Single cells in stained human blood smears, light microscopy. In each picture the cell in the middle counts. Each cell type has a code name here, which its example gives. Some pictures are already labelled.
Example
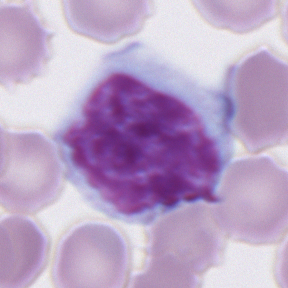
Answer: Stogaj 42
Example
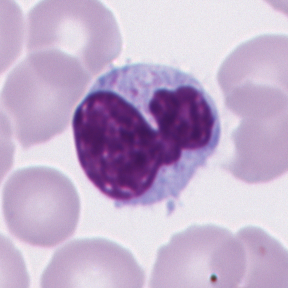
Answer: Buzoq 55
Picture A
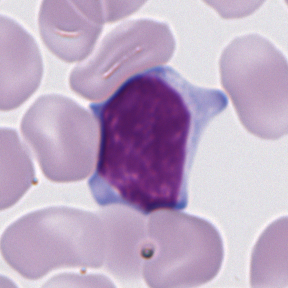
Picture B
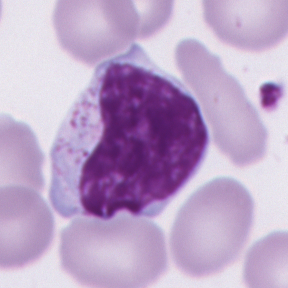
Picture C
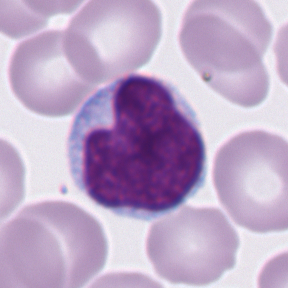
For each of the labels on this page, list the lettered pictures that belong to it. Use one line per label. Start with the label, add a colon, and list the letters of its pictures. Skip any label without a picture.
Stogaj 42: A, C
Buzoq 55: B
